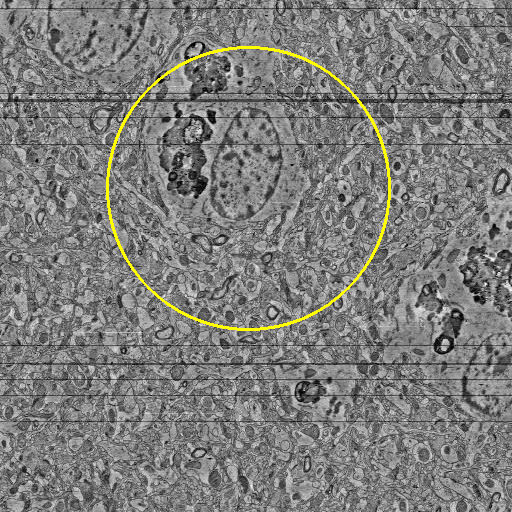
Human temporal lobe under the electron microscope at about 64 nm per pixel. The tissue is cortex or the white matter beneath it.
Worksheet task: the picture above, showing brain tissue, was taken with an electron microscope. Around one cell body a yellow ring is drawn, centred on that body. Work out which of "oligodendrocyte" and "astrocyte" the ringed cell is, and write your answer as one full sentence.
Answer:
It is an astrocyte whose cell body lies at the centre of the yellow ring.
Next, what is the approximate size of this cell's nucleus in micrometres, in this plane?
The nucleus of the ringed cell is clearly longer than it is wide in this plane, about 7 by 4 micrometres.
